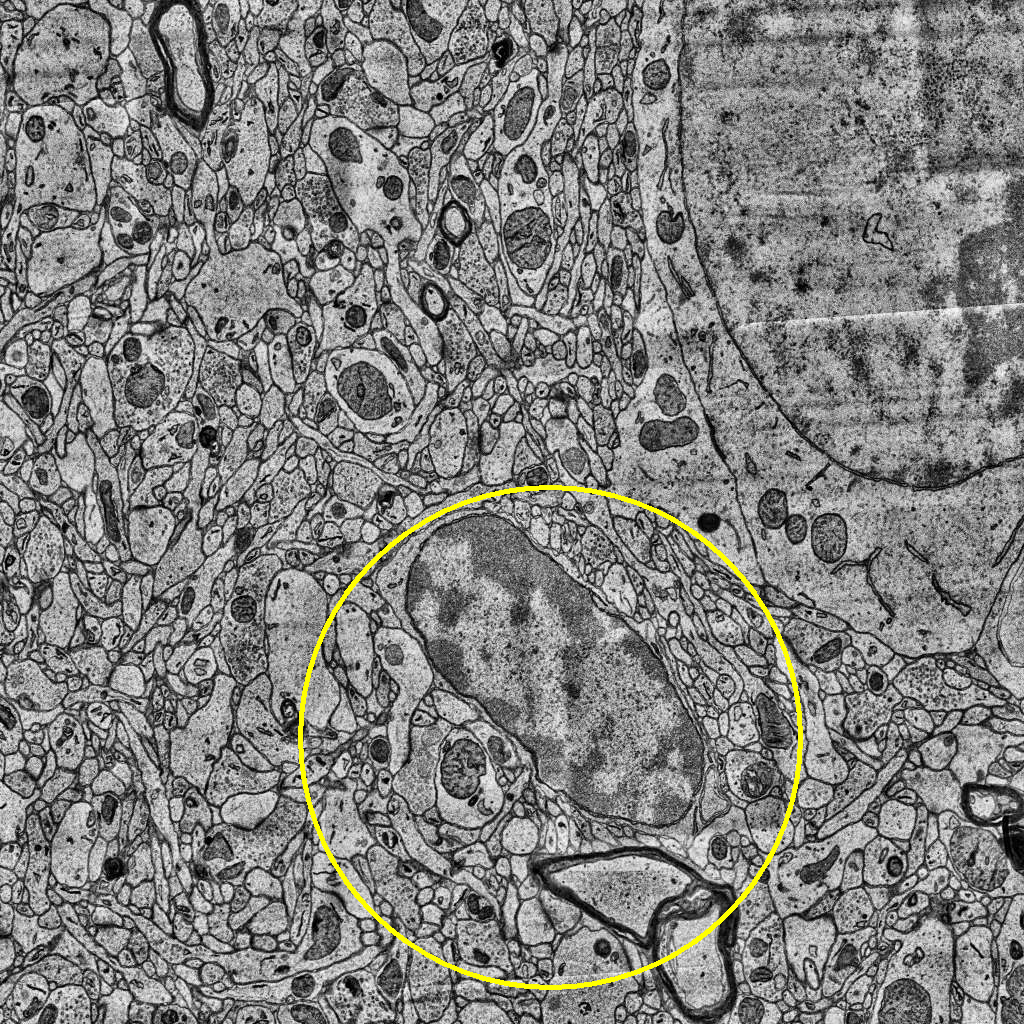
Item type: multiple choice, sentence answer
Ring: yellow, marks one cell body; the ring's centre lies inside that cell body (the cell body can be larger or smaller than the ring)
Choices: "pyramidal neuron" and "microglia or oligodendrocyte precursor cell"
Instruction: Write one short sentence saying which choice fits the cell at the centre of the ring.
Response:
The centre of this ring lies on a microglial cell or oligodendrocyte precursor cell.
